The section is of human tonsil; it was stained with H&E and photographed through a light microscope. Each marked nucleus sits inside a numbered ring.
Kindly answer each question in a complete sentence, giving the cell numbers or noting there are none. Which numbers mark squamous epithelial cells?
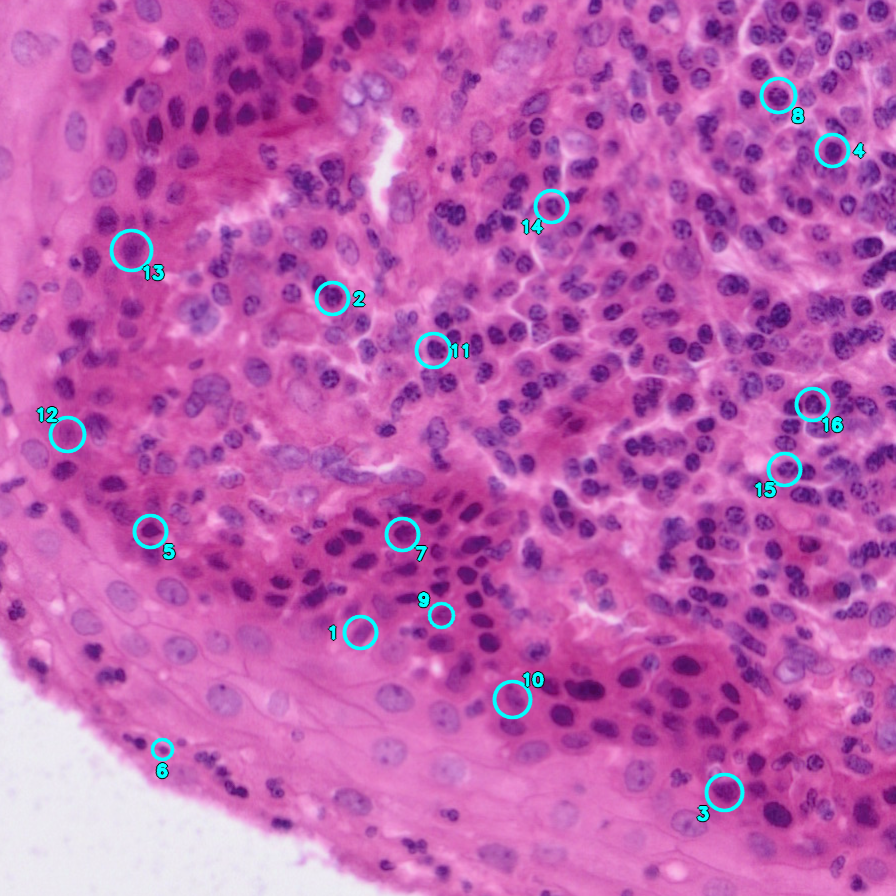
The cells labelled 1, 3, 5, 6, 7, 9, 10, 12 and 13 in this section are squamous epithelial cells.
